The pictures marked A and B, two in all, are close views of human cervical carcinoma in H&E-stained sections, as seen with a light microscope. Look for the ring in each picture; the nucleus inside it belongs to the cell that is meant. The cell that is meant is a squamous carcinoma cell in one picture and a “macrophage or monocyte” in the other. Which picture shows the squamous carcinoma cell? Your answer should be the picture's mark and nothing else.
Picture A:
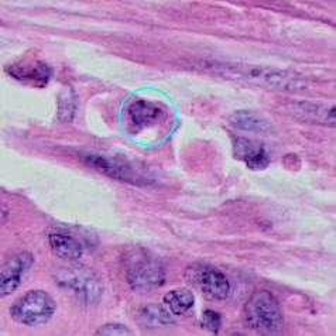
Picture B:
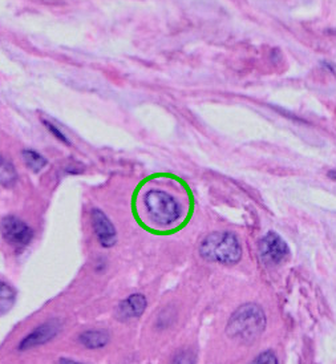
B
